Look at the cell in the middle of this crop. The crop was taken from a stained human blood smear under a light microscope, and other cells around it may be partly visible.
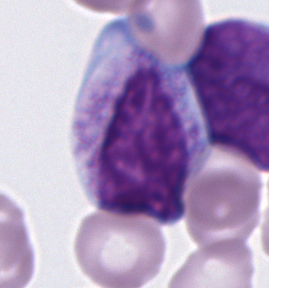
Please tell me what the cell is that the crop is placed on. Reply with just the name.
myelocyte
